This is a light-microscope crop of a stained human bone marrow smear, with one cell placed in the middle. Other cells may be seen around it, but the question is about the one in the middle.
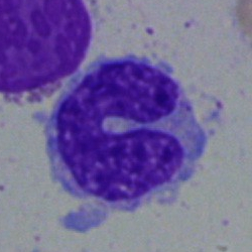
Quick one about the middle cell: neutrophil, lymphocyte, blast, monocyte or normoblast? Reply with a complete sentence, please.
Whatever else lies nearby, the middle cell is a monocyte.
